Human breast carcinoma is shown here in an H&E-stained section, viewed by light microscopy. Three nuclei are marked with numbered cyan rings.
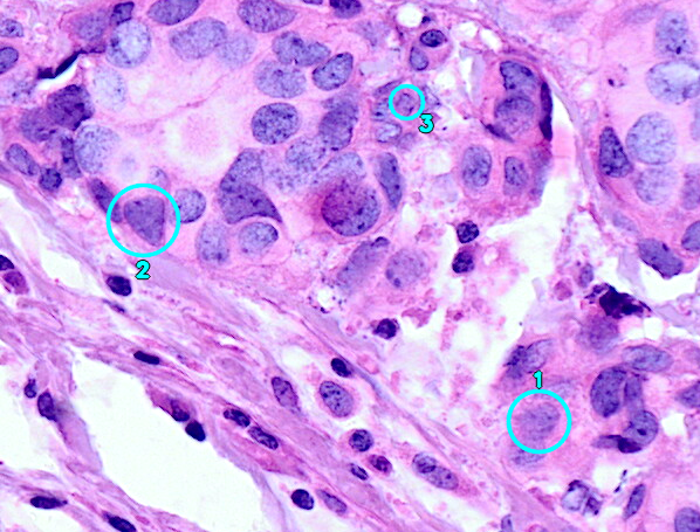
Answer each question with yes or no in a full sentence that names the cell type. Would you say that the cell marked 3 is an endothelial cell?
Yes, within this section, cell number 3 is an endothelial cell.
